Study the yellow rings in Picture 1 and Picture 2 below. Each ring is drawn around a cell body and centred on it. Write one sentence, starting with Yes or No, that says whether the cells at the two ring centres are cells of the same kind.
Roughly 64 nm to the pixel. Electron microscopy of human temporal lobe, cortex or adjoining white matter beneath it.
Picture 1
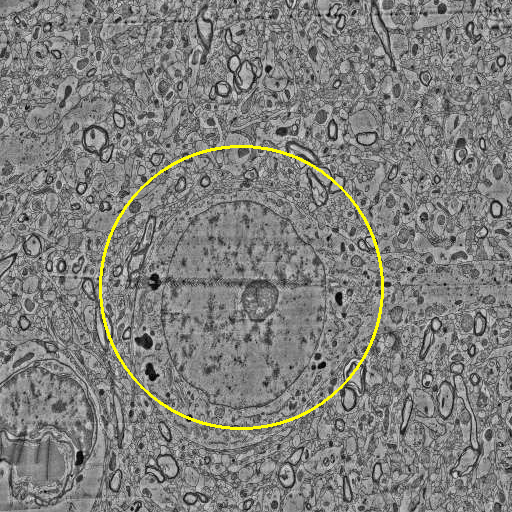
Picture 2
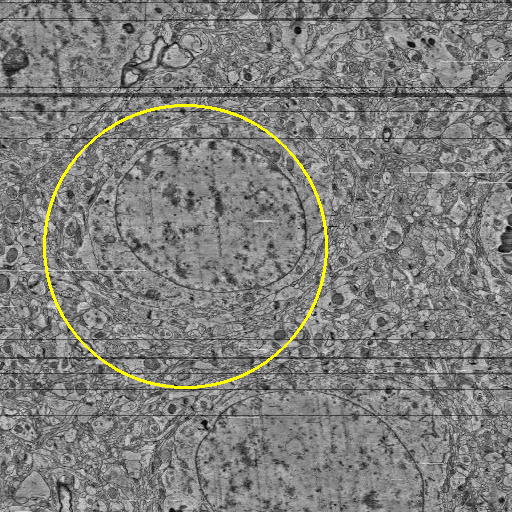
Yes, the cells at both ring centres are of the same kind.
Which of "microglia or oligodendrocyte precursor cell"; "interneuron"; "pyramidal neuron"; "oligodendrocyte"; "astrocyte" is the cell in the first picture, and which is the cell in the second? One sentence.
The cell in the first picture is a pyramidal neuron, and so is the one in the second.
